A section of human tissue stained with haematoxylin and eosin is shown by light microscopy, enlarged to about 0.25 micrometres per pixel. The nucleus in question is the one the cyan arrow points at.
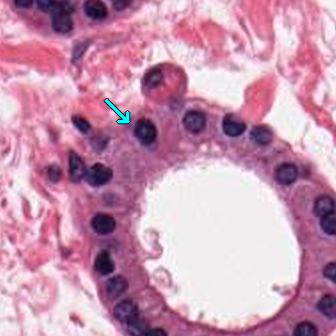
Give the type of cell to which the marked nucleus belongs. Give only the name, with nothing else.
thyroid follicular cell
